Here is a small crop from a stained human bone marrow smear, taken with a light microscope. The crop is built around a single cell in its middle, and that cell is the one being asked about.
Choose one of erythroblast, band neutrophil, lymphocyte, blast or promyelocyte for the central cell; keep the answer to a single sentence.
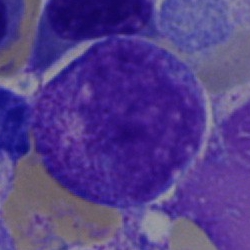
The crop centres on a single cell, and that cell is a promyelocyte.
